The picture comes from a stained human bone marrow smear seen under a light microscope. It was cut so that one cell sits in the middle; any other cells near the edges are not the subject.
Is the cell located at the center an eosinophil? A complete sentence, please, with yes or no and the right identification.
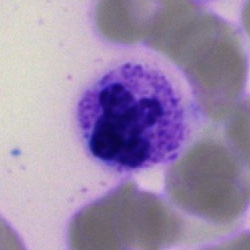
No, wrong label: the middle cell is a segmented neutrophil instead of an eosinophil.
